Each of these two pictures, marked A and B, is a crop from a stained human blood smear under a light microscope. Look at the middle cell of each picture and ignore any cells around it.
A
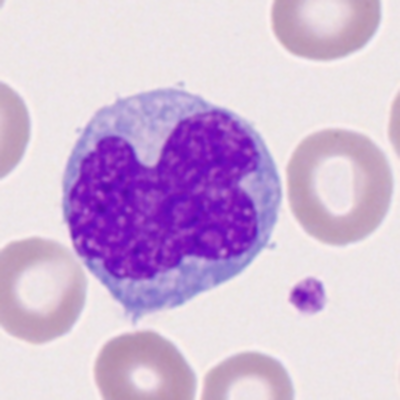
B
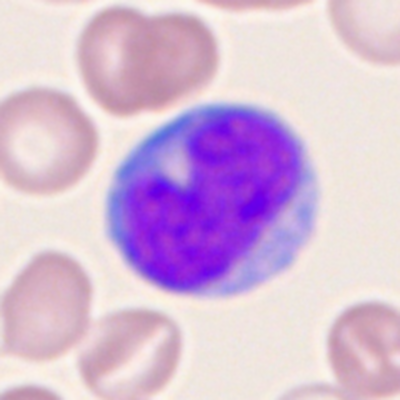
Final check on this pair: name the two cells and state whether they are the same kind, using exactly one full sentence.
Yes, both crops alike show monocytes at the centre.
